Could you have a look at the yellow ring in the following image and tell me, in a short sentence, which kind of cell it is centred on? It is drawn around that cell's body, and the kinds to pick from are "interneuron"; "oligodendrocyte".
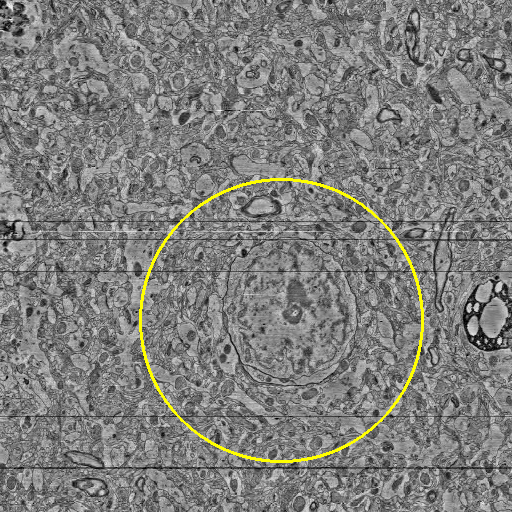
The ring is centred on the body of an interneuron.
